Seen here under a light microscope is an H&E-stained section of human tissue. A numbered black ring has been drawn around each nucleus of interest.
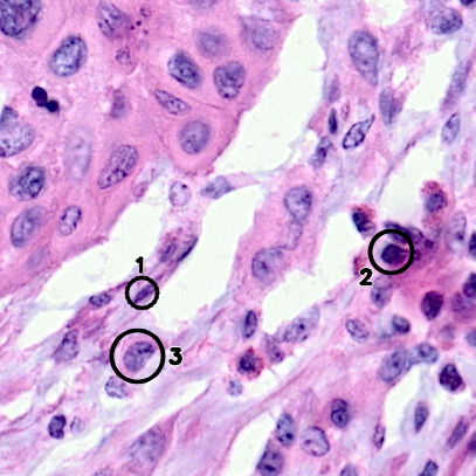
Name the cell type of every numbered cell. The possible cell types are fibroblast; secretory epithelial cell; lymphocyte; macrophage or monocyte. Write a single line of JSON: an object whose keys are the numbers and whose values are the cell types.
{"1": "fibroblast", "2": "lymphocyte", "3": "macrophage or monocyte"}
